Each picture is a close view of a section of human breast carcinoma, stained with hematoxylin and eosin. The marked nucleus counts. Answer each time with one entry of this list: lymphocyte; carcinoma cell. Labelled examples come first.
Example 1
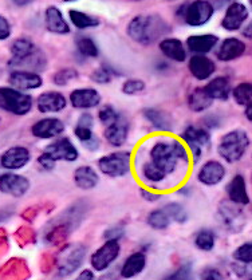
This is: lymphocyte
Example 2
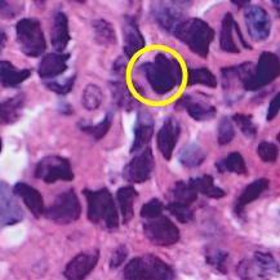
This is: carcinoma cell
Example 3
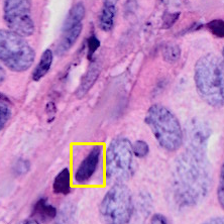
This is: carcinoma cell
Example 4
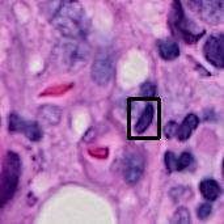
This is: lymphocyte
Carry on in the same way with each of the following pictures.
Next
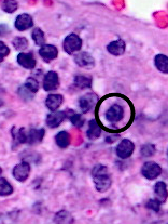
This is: lymphocyte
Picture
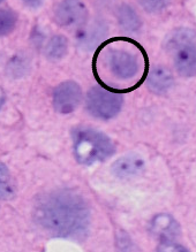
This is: carcinoma cell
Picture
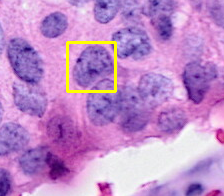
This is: carcinoma cell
